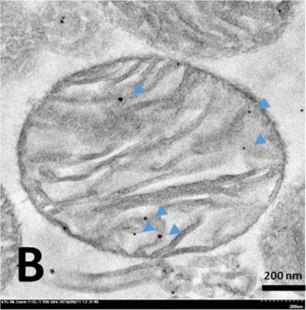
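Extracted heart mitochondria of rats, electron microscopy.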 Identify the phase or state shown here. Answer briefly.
Swelling.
